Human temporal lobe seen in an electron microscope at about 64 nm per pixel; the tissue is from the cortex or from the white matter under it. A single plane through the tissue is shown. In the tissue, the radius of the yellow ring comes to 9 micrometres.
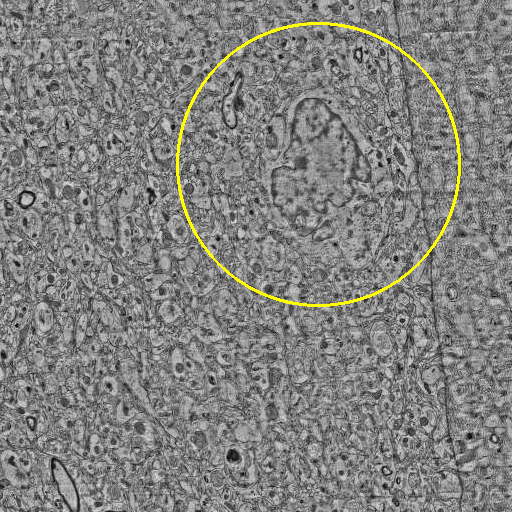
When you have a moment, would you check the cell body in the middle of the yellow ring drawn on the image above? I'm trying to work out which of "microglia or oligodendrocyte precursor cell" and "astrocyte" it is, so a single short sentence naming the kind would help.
This cell body belongs to a microglial cell or oligodendrocyte precursor cell.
